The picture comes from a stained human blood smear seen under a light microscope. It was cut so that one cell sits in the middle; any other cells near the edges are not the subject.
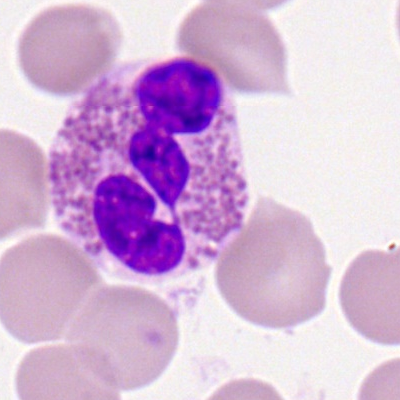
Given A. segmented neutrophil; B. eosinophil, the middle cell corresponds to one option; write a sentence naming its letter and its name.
That the central cell is an eosinophil makes option B correct.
